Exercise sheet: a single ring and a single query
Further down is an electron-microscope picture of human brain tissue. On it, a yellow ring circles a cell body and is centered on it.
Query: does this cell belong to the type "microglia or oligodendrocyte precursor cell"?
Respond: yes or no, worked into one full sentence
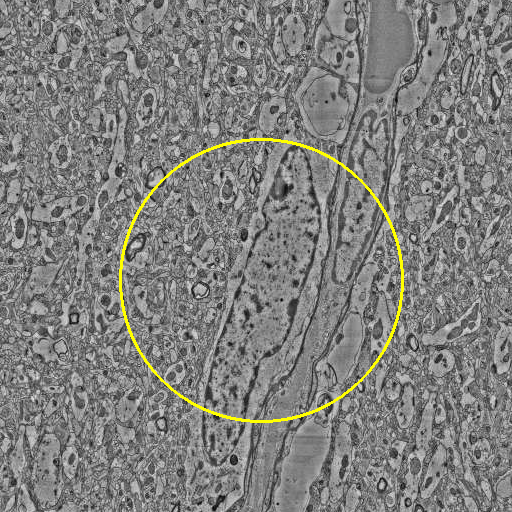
Yes, this ringed cell, found at the center of the ring in the picture, is of that type.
